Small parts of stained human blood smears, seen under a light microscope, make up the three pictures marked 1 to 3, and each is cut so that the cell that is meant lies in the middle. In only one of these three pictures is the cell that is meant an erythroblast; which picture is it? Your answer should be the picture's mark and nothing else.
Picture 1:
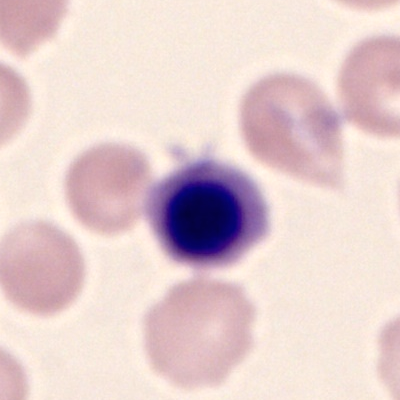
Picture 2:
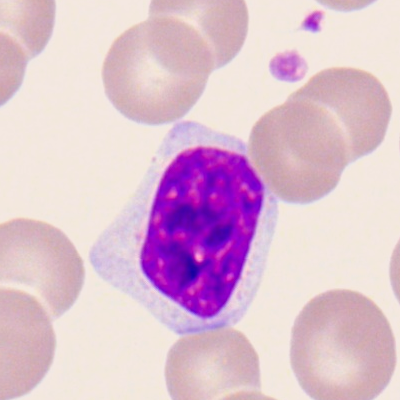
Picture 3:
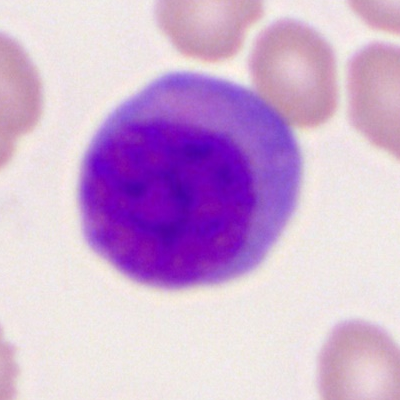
1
